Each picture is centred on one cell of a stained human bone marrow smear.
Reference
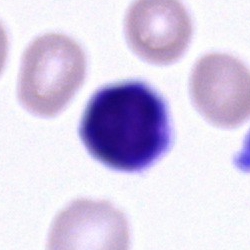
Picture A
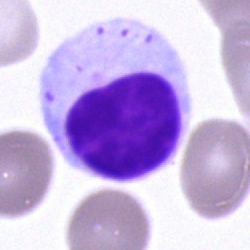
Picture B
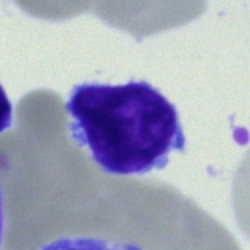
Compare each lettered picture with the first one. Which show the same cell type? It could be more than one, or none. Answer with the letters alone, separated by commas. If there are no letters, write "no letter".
A, B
